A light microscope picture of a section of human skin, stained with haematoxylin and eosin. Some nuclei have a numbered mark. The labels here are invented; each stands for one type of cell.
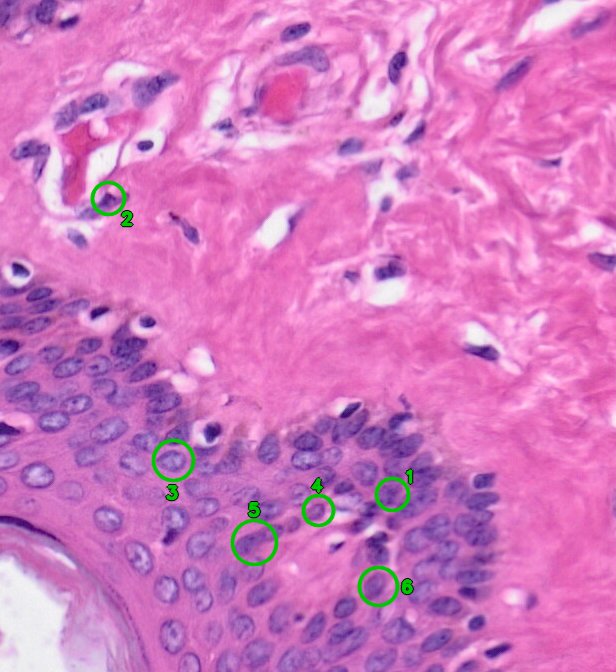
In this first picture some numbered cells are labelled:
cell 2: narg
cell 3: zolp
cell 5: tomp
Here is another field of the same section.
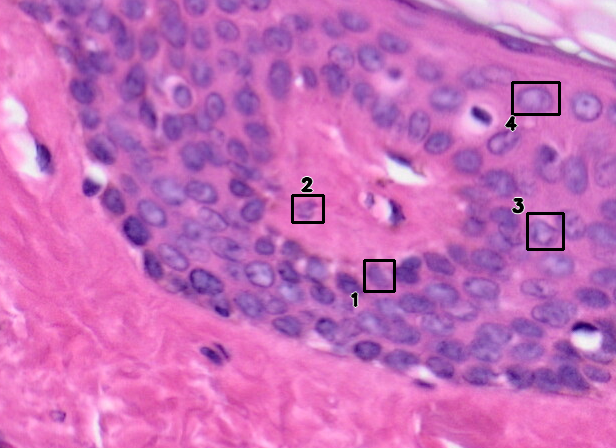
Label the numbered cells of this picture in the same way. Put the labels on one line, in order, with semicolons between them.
tomp; narg; zolp; zolp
